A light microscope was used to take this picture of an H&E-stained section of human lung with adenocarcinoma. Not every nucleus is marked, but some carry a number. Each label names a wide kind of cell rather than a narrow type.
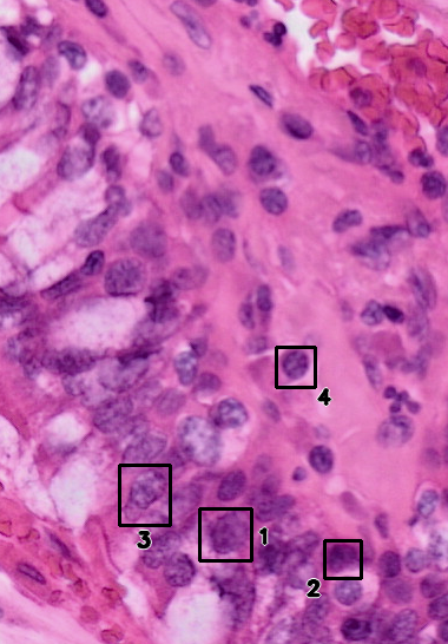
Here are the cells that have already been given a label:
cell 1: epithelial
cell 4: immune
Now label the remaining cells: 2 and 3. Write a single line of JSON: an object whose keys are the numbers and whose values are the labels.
{"2": "epithelial", "3": "epithelial"}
